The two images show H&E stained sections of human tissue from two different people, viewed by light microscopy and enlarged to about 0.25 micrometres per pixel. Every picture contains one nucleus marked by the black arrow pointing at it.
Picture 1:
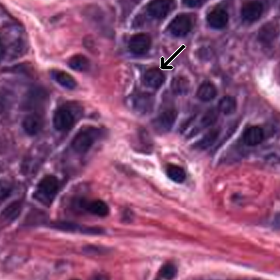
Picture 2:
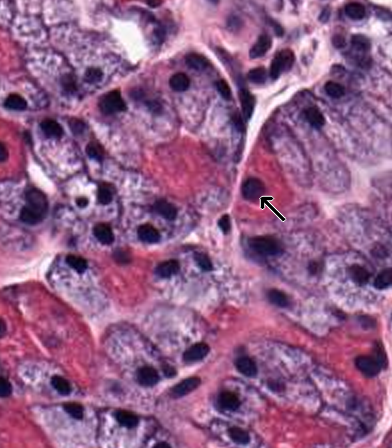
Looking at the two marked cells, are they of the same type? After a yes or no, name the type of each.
No, the first is a chief cell and the second a parietal cell.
